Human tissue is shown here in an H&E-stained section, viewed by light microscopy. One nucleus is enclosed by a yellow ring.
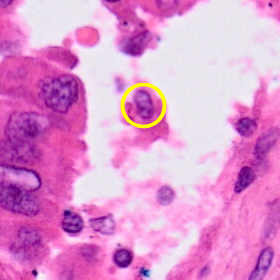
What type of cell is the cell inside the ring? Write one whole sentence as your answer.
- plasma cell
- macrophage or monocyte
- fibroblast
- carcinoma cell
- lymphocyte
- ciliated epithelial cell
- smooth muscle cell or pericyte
To be brief about it, the cell inside the ring is a macrophage or monocyte.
